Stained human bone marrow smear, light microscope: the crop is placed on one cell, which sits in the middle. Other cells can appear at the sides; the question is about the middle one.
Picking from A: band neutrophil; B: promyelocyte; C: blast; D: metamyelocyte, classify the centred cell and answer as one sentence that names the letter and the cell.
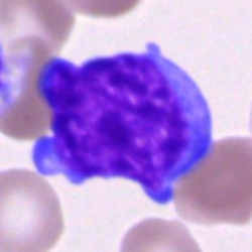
Located in the middle of the crop is a blast, and option C is therefore correct.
